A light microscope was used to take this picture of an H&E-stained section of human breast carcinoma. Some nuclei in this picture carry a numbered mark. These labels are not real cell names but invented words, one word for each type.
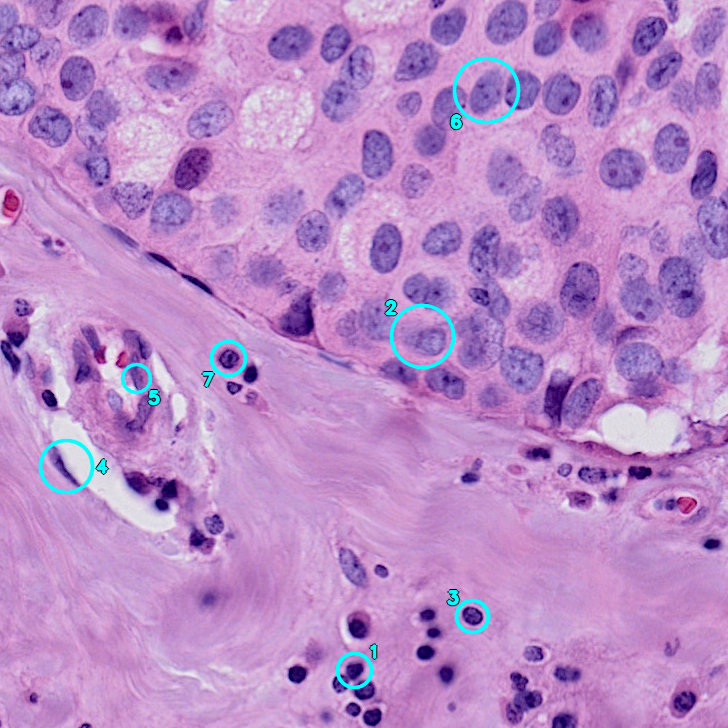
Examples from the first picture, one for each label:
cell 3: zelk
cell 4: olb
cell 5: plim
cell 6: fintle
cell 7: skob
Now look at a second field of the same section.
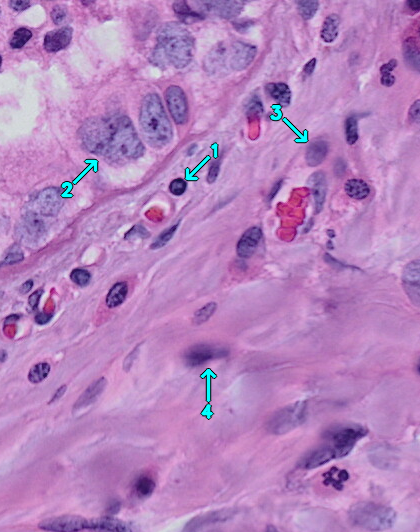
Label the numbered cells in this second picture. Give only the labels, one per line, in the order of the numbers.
skob
fintle
plim
olb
